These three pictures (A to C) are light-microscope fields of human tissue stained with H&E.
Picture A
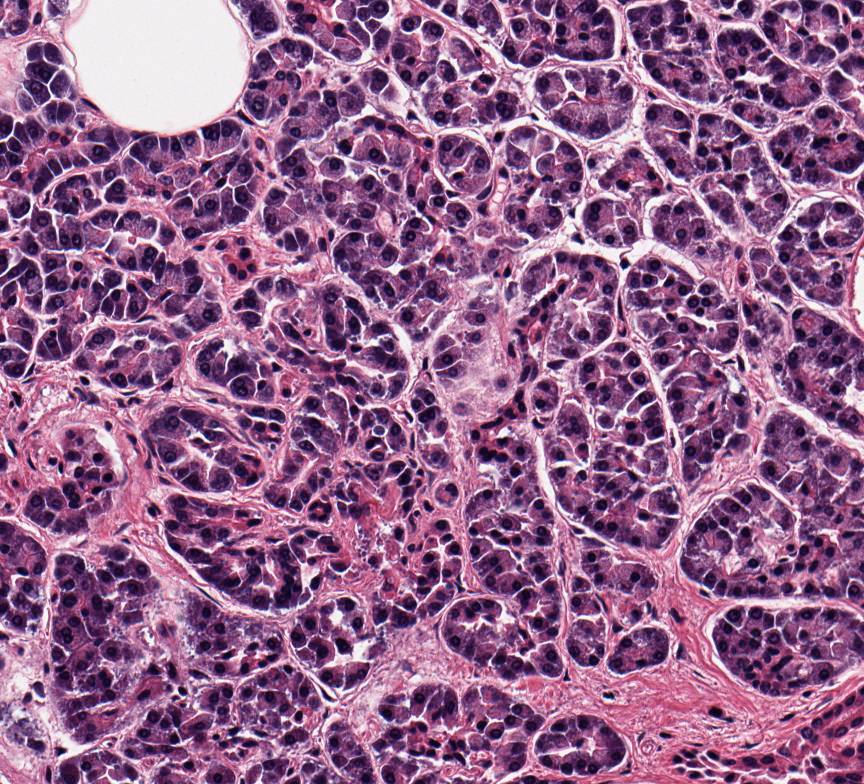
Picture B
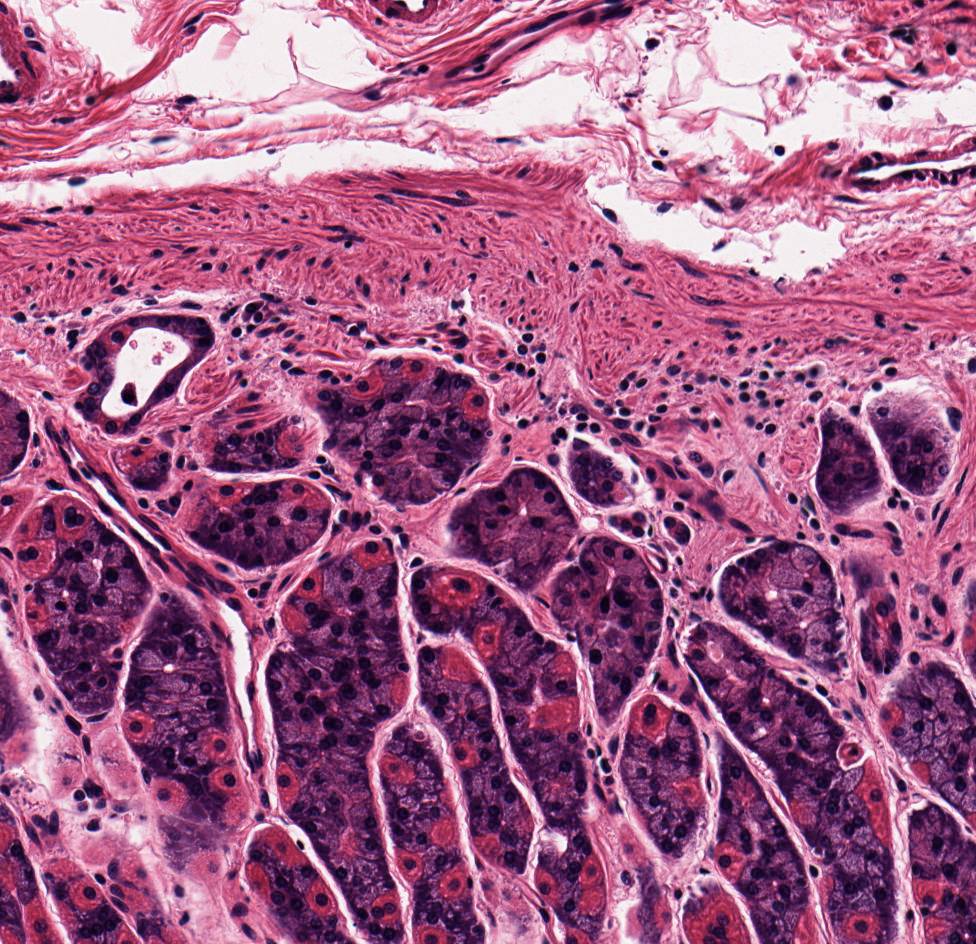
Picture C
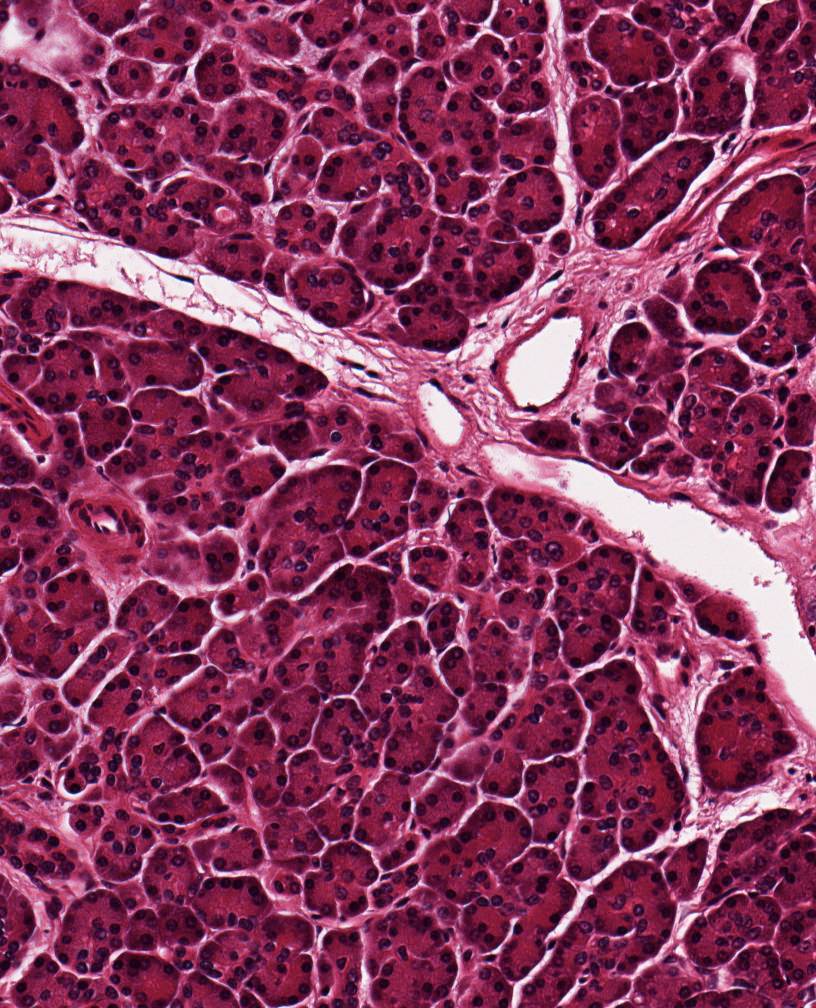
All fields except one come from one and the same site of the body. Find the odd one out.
B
